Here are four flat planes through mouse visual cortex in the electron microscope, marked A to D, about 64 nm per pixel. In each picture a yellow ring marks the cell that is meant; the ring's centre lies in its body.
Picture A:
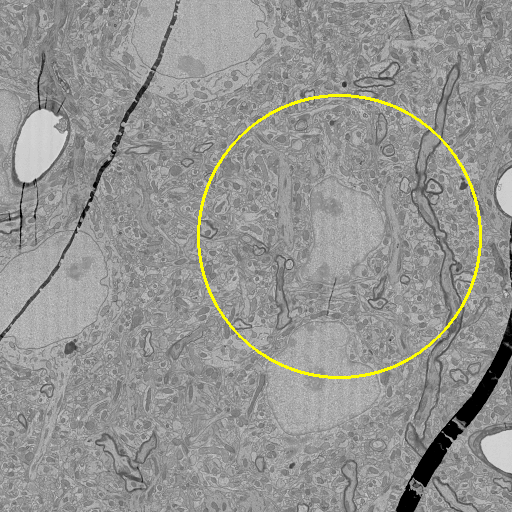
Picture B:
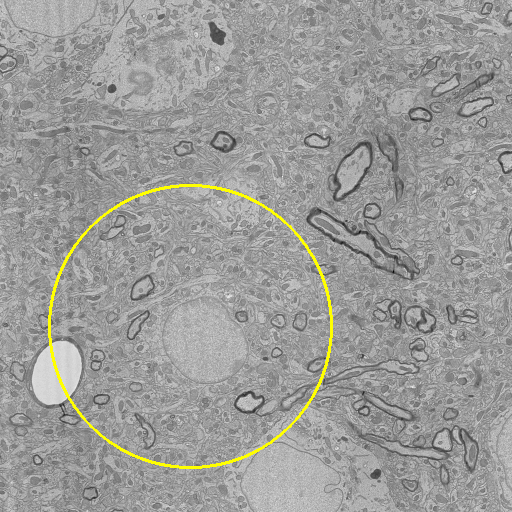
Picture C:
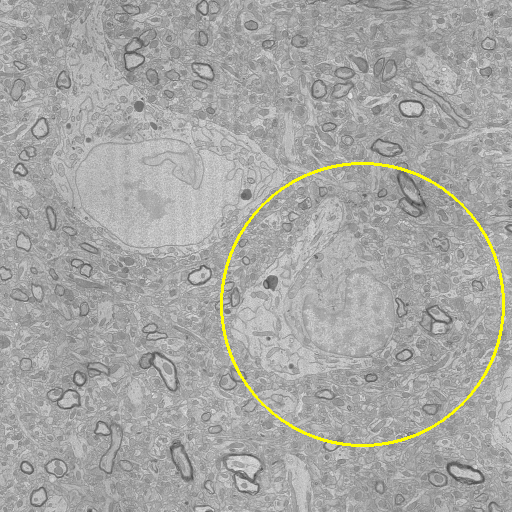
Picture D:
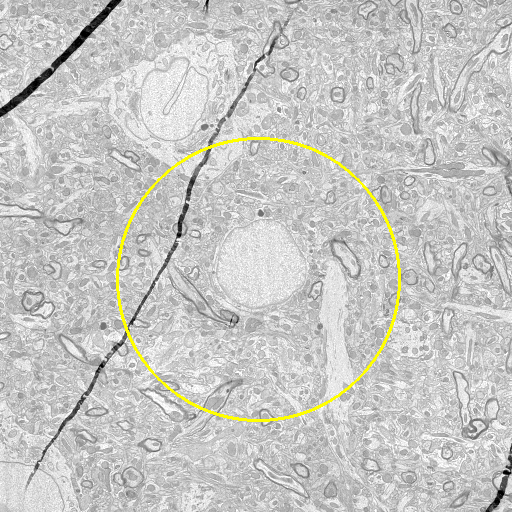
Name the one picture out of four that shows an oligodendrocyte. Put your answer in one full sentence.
The cell in picture C is the oligodendrocyte.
